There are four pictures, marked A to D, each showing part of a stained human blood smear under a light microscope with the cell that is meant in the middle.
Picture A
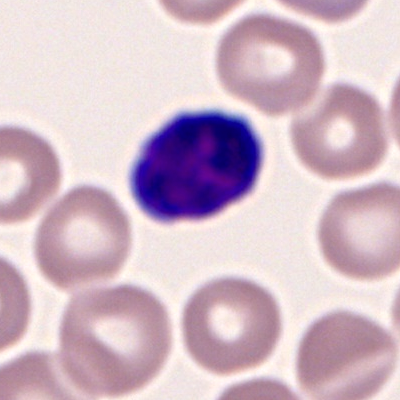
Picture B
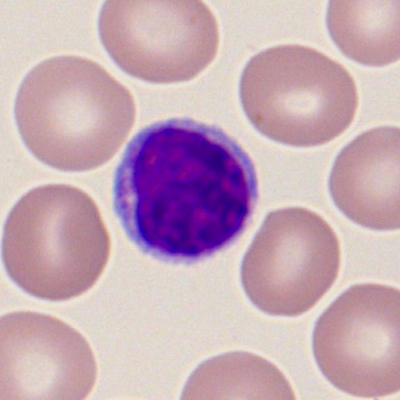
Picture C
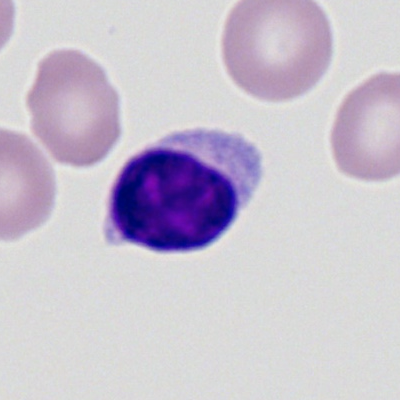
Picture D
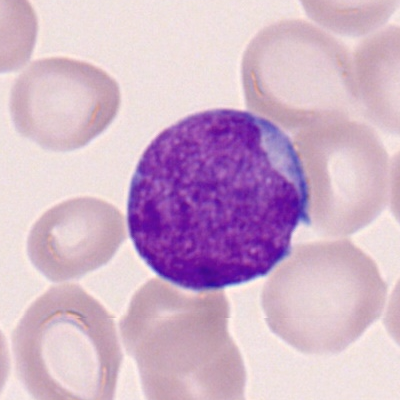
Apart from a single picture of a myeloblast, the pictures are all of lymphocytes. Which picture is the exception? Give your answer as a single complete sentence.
Picture D shows the myeloblast.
